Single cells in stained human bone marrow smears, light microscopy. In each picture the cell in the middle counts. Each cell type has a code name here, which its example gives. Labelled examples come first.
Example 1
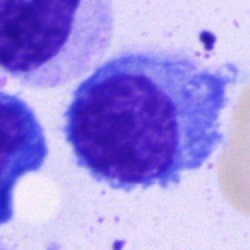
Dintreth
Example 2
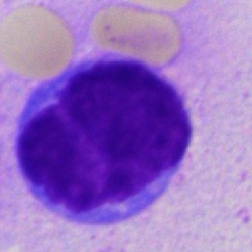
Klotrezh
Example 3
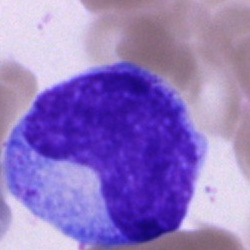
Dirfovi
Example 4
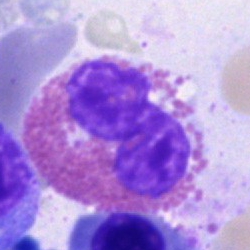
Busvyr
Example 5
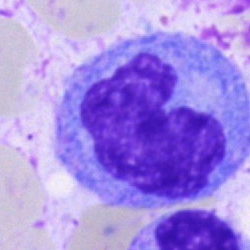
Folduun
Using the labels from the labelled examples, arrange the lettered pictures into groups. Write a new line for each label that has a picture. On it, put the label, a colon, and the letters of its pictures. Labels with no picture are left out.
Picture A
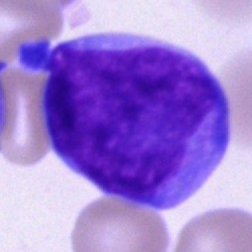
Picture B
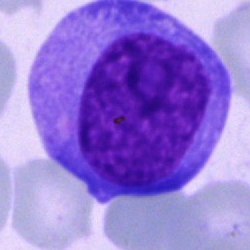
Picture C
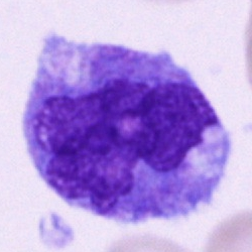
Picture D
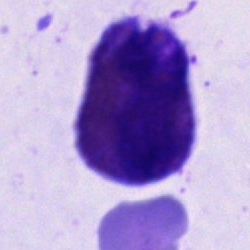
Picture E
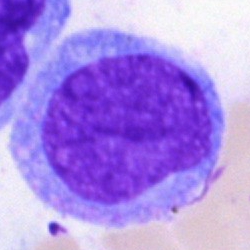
Klotrezh: A, B, E
Busvyr: D
Folduun: C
